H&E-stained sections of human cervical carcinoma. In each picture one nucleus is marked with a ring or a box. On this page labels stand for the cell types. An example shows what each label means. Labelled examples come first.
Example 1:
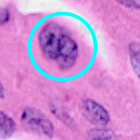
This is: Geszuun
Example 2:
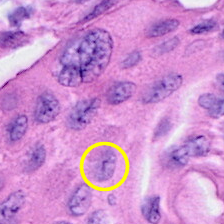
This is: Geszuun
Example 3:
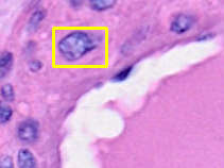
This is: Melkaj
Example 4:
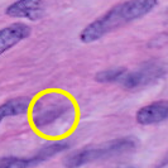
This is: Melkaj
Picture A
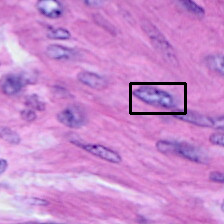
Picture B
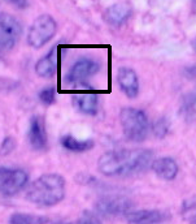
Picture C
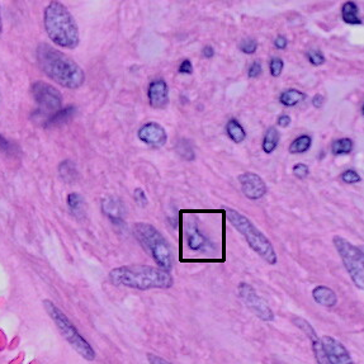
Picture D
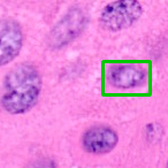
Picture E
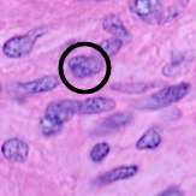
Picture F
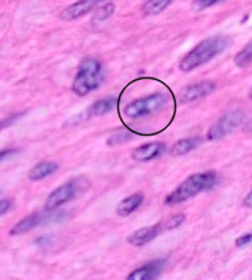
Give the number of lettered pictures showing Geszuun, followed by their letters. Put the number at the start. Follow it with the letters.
2, namely B, D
